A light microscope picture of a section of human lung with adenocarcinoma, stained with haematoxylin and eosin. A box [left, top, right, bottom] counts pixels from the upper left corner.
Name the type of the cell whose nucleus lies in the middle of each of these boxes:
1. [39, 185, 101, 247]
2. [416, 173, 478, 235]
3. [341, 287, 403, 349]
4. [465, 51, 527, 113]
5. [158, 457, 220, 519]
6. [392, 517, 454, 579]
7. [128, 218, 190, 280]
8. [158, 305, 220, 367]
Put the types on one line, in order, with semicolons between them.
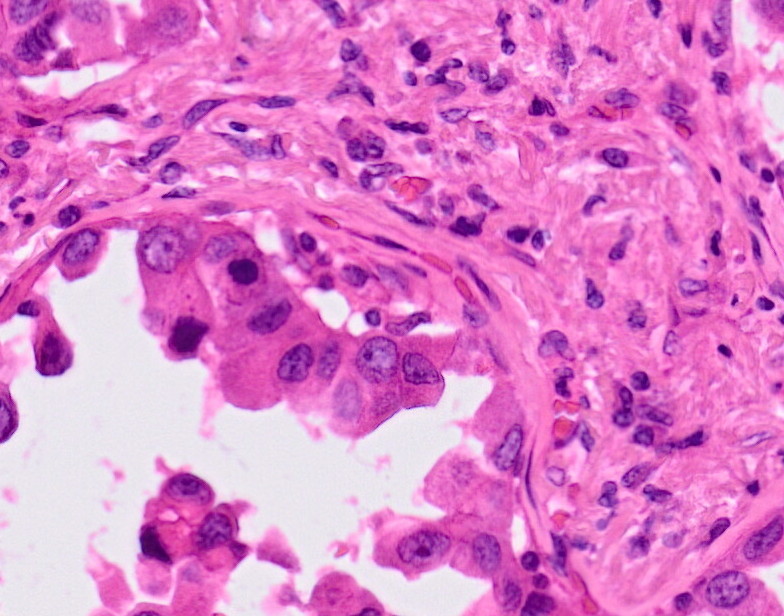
plasma cell; plasma cell; lymphocyte; plasma cell; carcinoma cell; carcinoma cell; carcinoma cell; carcinoma cell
